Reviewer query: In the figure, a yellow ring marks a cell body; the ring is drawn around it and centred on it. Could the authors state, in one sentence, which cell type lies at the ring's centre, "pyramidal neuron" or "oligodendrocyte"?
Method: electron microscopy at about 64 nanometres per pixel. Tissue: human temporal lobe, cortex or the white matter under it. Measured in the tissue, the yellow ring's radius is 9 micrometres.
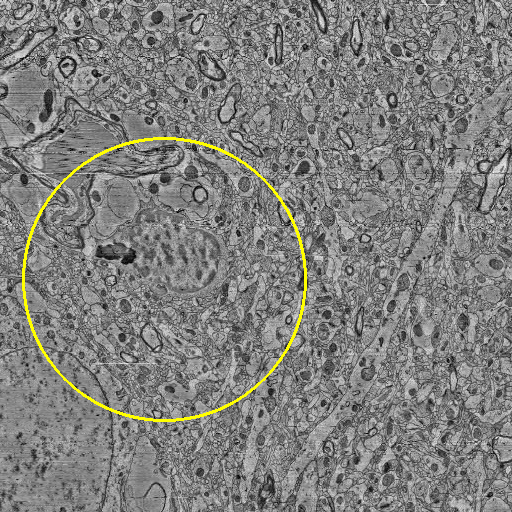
The ring is centred on an oligodendrocyte.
